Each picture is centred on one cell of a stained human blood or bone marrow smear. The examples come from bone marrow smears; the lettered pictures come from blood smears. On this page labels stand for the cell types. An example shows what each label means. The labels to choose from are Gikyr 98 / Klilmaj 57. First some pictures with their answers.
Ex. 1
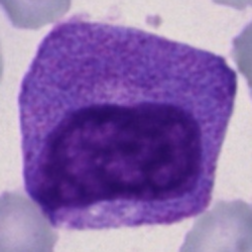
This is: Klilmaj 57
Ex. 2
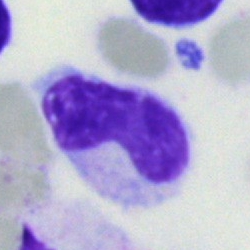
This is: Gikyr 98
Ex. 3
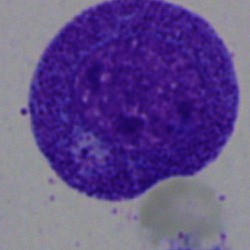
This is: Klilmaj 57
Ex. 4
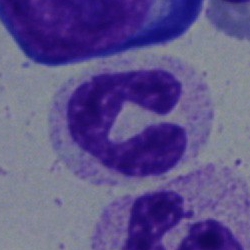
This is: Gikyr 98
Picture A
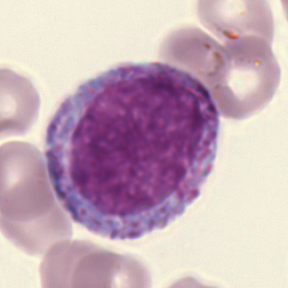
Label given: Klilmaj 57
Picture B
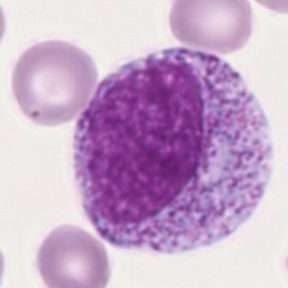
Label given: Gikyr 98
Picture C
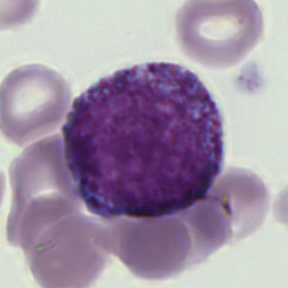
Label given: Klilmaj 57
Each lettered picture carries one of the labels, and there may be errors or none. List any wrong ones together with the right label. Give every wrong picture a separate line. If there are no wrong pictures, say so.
B should be Klilmaj 57, not Gikyr 98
